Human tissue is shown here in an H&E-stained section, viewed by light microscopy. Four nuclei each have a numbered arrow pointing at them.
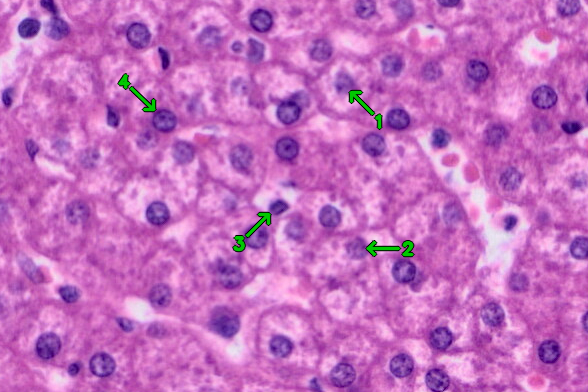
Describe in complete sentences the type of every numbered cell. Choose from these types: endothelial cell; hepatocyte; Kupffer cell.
Cell 1 is a hepatocyte, cell 2 is a hepatocyte, cell 3 is a Kupffer cell and cell 4 is a hepatocyte.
